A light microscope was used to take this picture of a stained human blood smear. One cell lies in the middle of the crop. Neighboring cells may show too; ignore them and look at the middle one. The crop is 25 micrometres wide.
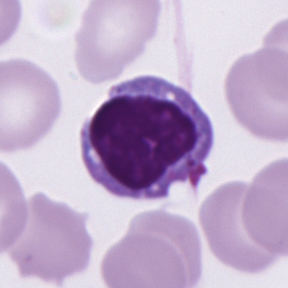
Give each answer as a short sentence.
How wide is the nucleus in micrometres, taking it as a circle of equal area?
It measures about 8 micrometres across.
